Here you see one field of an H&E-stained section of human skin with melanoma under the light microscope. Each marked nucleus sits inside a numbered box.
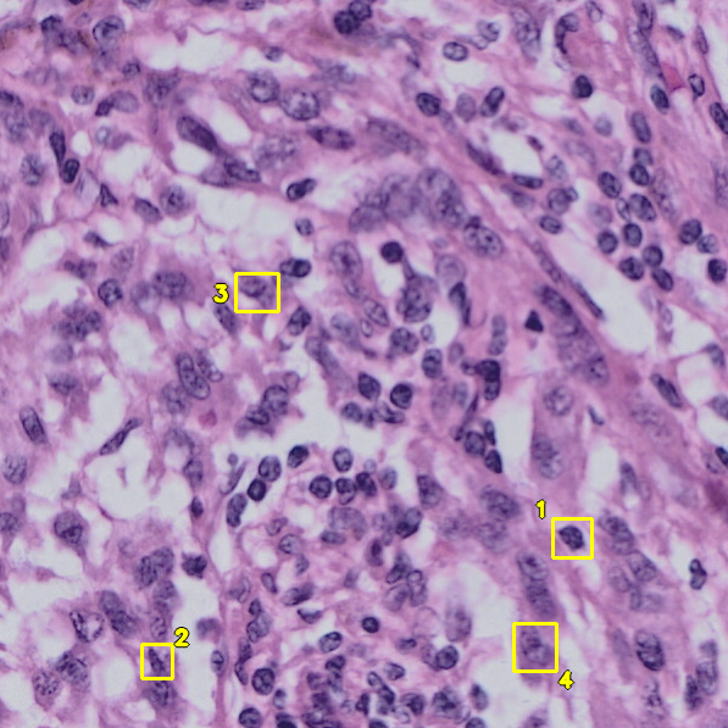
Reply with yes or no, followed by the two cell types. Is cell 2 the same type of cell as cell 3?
Yes, the pair of cells 2 and 3 are both melanoma cells.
